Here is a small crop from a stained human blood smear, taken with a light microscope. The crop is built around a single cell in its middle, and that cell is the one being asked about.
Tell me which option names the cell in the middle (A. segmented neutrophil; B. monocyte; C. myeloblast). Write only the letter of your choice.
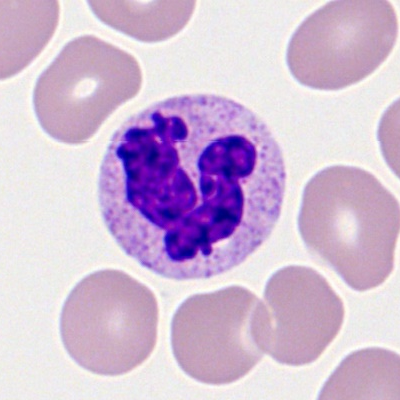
A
